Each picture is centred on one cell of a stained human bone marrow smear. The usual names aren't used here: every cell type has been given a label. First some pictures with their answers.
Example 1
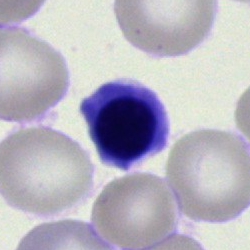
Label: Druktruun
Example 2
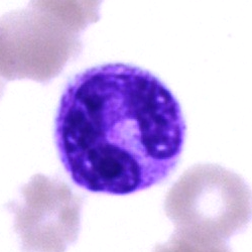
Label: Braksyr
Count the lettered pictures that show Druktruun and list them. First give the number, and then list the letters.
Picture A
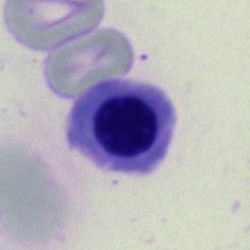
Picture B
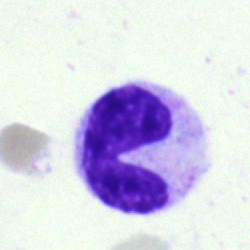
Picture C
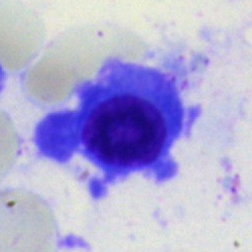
2: A, C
